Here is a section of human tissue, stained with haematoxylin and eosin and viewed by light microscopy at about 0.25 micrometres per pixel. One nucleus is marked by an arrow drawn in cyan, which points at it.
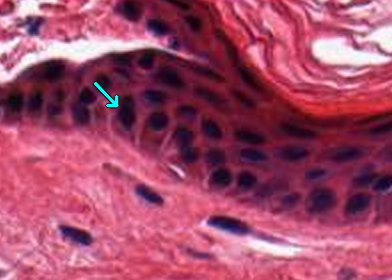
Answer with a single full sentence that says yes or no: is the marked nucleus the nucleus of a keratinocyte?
Yes, the nucleus pointed to by the marking is that of a keratinocyte.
